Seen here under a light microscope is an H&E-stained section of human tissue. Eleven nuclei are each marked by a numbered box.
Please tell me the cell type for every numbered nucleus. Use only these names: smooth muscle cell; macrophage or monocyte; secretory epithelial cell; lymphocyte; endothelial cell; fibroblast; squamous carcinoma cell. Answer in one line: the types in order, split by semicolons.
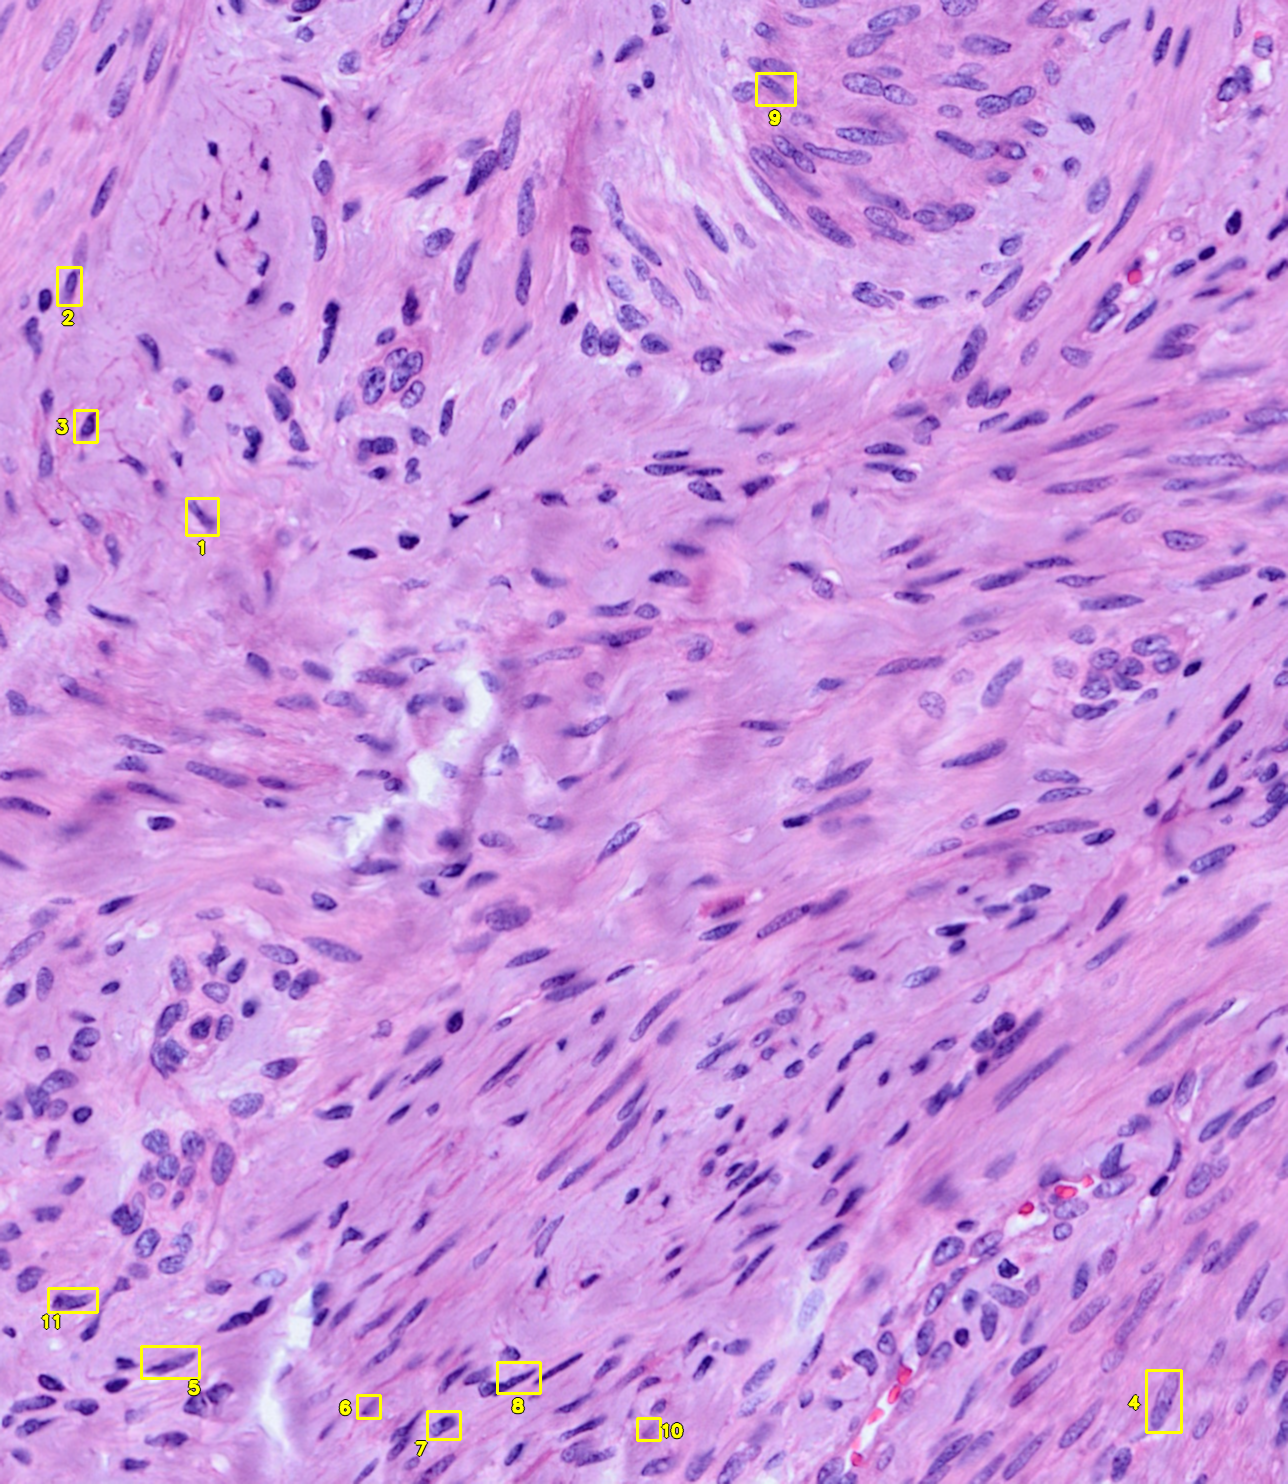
fibroblast; fibroblast; smooth muscle cell; smooth muscle cell; fibroblast; smooth muscle cell; fibroblast; fibroblast; smooth muscle cell; smooth muscle cell; fibroblast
